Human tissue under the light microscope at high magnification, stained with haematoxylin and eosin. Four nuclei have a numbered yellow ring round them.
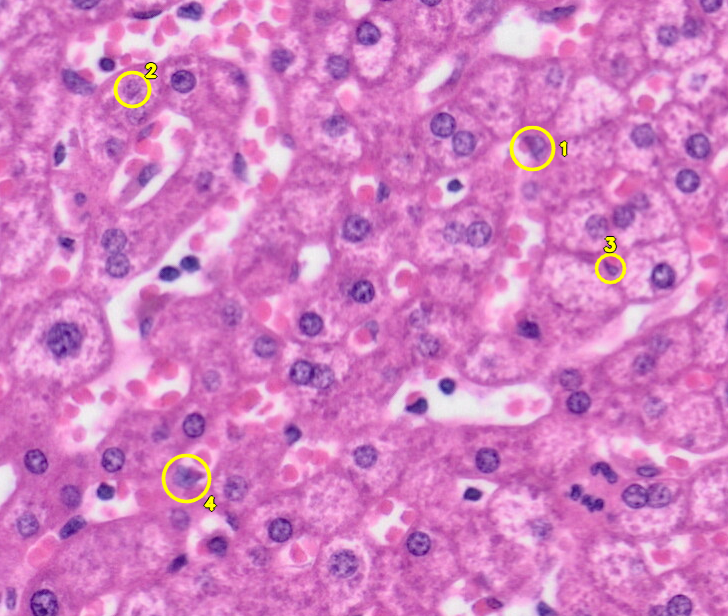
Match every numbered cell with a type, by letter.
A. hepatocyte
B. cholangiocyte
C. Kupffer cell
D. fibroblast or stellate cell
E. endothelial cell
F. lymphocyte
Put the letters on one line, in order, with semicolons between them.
E; A; E; E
